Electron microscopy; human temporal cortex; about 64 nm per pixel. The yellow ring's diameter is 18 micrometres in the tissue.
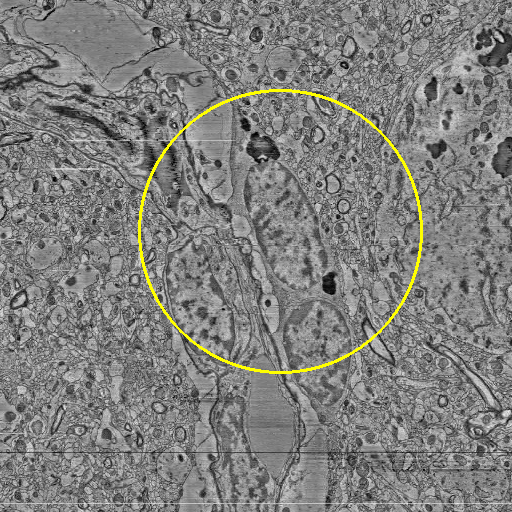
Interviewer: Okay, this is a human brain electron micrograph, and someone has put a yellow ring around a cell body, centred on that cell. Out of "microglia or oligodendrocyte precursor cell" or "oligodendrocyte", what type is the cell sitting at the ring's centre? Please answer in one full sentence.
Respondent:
The cell at the centre of the yellow ring in this picture is an oligodendrocyte.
